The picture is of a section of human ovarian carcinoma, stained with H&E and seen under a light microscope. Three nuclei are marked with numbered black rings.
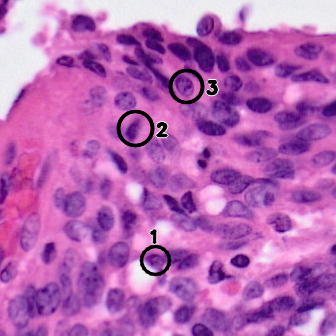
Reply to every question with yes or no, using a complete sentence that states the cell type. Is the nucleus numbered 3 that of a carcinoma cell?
No, the cell with the number 3 is a macrophage or monocyte, not a carcinoma cell.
